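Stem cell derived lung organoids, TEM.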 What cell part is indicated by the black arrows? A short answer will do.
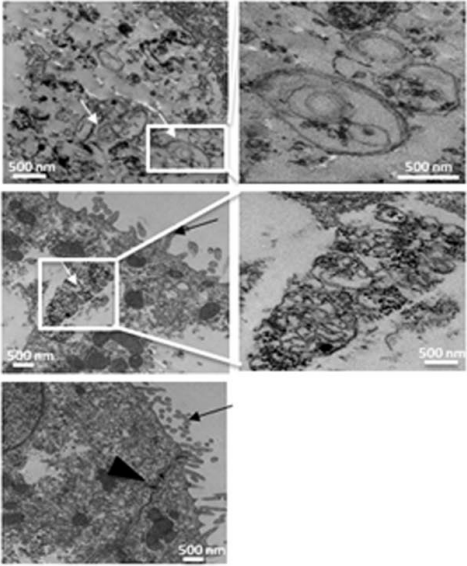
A: Microvilli.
